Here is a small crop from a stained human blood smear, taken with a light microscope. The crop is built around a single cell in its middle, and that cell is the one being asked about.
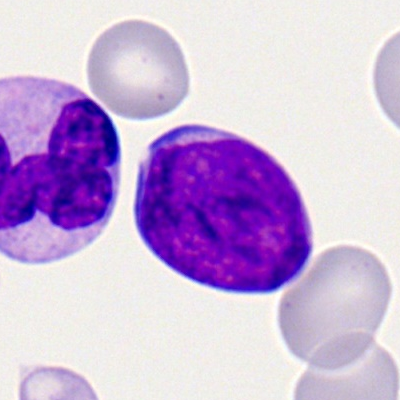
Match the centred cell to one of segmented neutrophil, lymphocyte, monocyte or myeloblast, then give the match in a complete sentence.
On this slide crop, the central cell is a myeloblast.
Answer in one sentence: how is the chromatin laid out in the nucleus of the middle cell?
Chromatin texture is fine, and coarse clumps are absent.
